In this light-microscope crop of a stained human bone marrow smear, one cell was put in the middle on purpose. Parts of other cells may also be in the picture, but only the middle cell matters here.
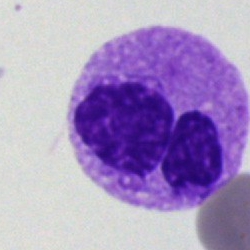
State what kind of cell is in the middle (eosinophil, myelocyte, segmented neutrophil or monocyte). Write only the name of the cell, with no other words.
segmented neutrophil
